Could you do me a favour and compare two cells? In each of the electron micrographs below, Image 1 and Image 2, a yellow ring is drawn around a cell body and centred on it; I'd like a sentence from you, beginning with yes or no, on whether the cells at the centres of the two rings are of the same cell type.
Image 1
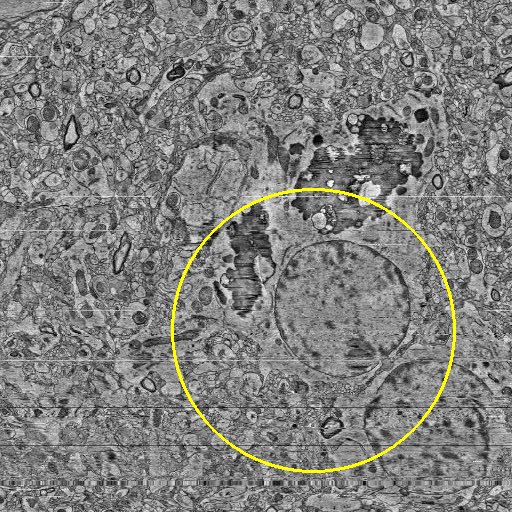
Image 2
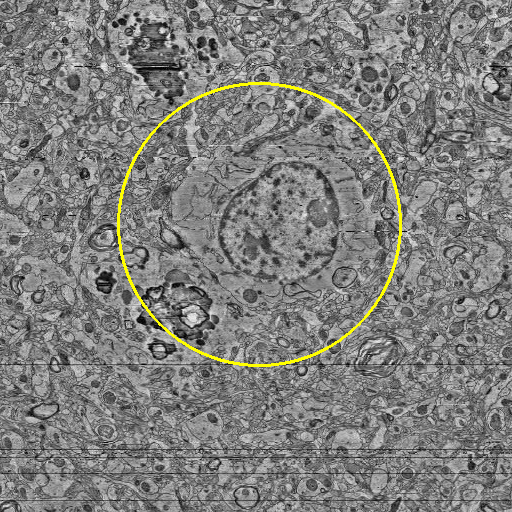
Yes, the two cells are of the same cell type.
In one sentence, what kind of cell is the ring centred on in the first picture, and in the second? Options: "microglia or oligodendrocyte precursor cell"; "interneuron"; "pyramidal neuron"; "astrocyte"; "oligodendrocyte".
Both pictures show an astrocyte at the centre of the ring.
